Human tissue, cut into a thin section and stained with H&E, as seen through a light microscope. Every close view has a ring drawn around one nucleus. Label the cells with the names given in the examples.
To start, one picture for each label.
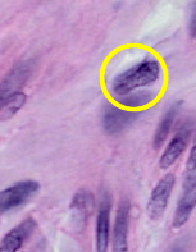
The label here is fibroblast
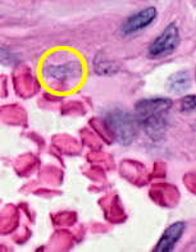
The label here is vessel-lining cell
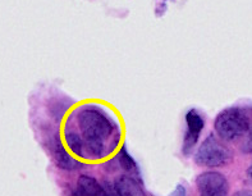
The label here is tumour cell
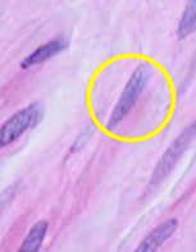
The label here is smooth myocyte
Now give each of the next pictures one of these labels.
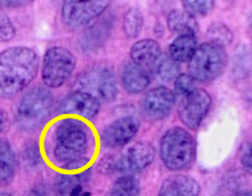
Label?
tumour cell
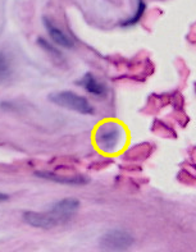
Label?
vessel-lining cell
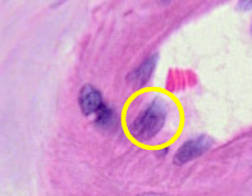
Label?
vessel-lining cell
